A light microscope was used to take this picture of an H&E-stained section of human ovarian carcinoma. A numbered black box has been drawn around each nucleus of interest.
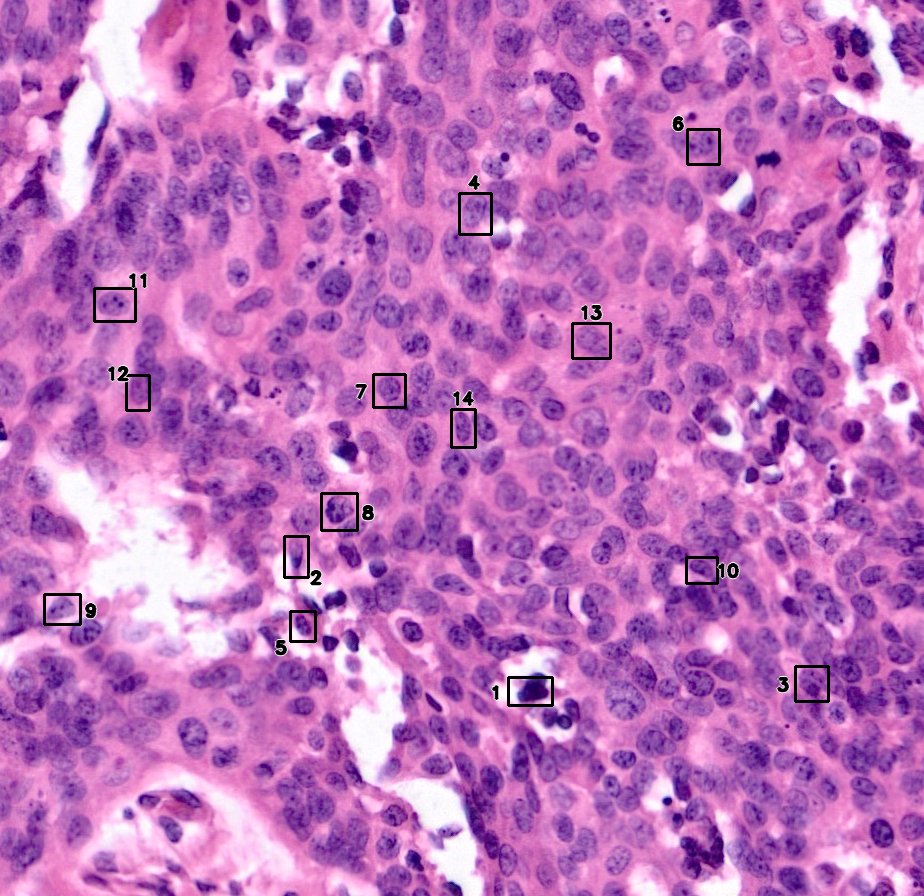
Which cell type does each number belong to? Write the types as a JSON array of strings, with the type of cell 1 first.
["carcinoma cell", "macrophage or monocyte", "carcinoma cell", "carcinoma cell", "macrophage or monocyte", "carcinoma cell", "carcinoma cell", "macrophage or monocyte", "macrophage or monocyte", "carcinoma cell", "macrophage or monocyte", "carcinoma cell", "carcinoma cell", "macrophage or monocyte"]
